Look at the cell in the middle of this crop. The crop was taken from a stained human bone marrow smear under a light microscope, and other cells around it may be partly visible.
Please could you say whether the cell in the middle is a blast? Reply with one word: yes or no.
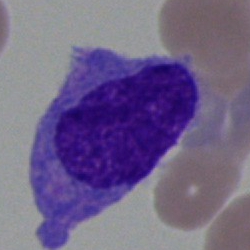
yes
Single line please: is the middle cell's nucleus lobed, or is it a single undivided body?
What stands out is a nucleus forming one compact round, oval or kidney-shaped mass.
